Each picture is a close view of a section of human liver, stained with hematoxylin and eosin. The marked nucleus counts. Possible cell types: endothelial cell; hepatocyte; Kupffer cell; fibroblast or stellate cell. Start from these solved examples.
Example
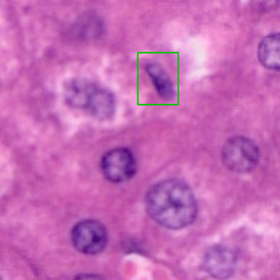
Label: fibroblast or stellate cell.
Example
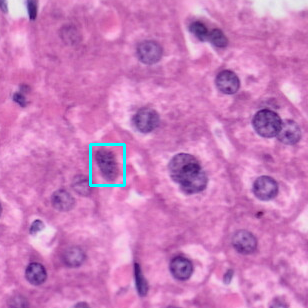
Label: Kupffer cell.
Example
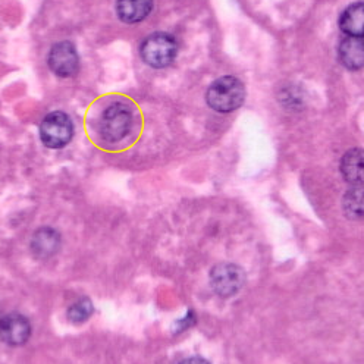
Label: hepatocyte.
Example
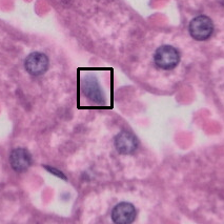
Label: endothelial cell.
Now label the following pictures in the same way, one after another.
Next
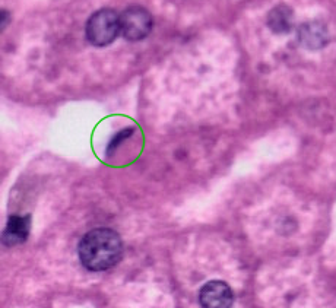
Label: endothelial cell.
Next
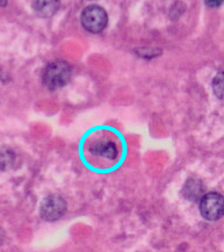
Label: endothelial cell.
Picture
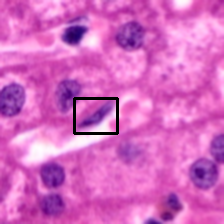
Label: Kupffer cell.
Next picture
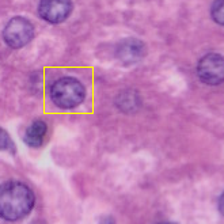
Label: hepatocyte.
